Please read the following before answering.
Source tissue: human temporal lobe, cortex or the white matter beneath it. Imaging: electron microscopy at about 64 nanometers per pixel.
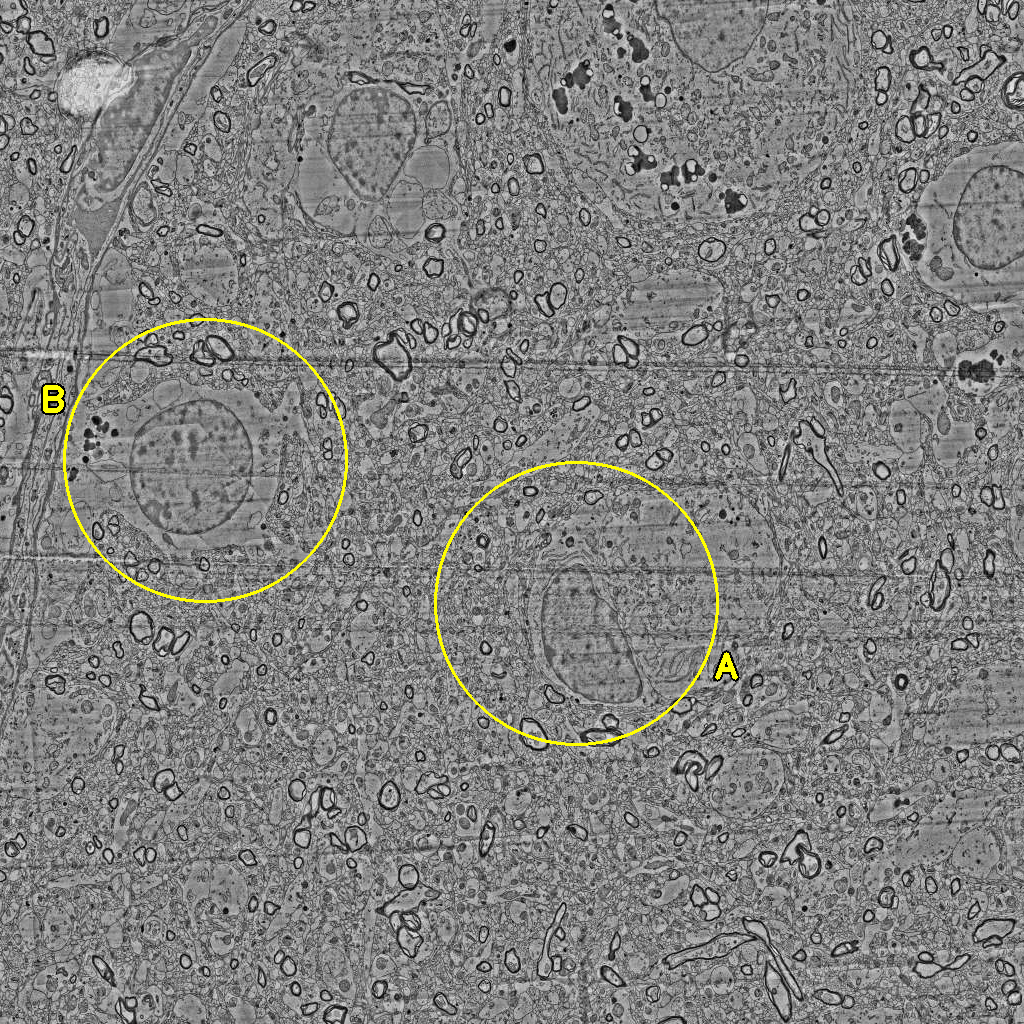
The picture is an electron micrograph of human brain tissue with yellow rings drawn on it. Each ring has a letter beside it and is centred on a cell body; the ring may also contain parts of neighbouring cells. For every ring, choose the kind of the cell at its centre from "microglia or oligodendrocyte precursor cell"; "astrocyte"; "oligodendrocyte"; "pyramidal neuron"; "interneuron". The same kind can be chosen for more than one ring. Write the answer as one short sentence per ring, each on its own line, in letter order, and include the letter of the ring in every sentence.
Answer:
The kind of cell at the centre of ring A is a microglial cell or oligodendrocyte precursor cell.
The kind of cell at the centre of ring B is an astrocyte.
